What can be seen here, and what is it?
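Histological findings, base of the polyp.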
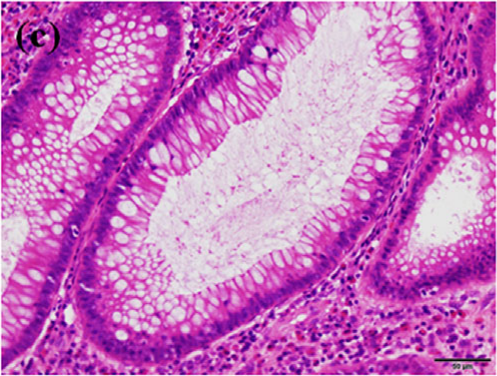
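A cystically dilated crypt fills the middle of the field, its wide lumen holding pale, finely strand-like mucus. The crypt is lined by a single layer of tall columnar cells, most of them goblet cells whose cytoplasm is distended by clear, rounded mucous vacuoles, giving a bubbly look. Neighbouring crypts at the edges show the same mucus-rich lining. Between the crypts lies a loose pink stroma with scattered small round inflammatory cells and spindle-shaped stromal cells.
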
